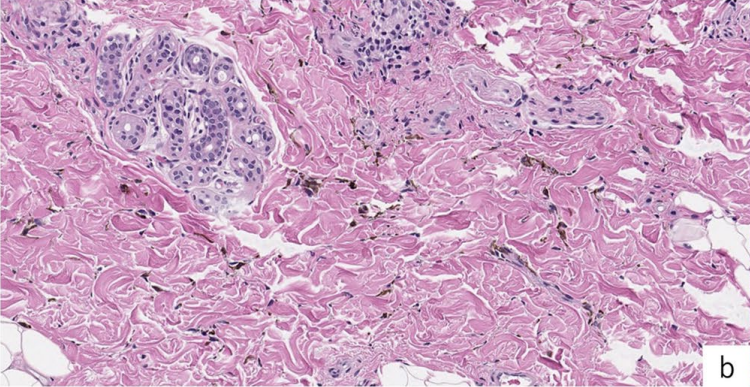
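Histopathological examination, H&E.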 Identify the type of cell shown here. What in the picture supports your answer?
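Melanocytes. Small elongated cells with brown pigment lie scattered between pink collagen bundles.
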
